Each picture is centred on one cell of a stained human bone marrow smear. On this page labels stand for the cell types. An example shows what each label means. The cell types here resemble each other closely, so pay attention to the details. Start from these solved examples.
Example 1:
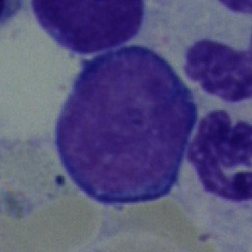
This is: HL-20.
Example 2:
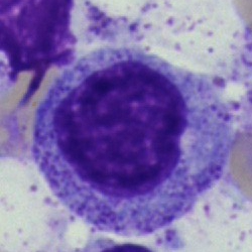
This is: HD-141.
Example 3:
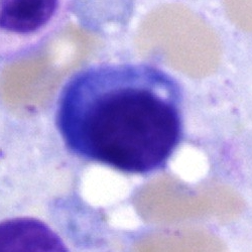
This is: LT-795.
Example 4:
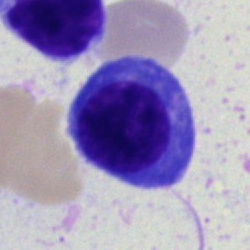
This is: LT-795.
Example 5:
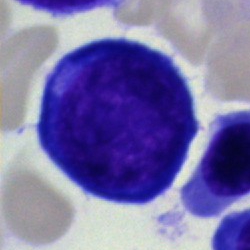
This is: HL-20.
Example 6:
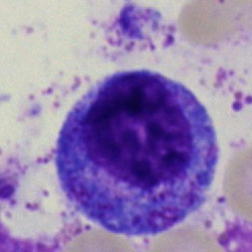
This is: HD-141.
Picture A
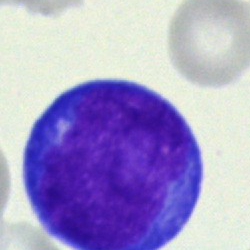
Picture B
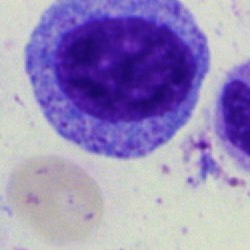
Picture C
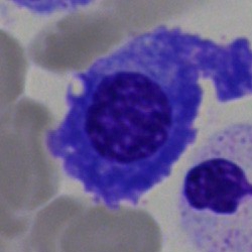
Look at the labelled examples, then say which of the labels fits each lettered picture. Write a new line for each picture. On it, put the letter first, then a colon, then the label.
A: HL-20.
B: HD-141.
C: LT-795.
